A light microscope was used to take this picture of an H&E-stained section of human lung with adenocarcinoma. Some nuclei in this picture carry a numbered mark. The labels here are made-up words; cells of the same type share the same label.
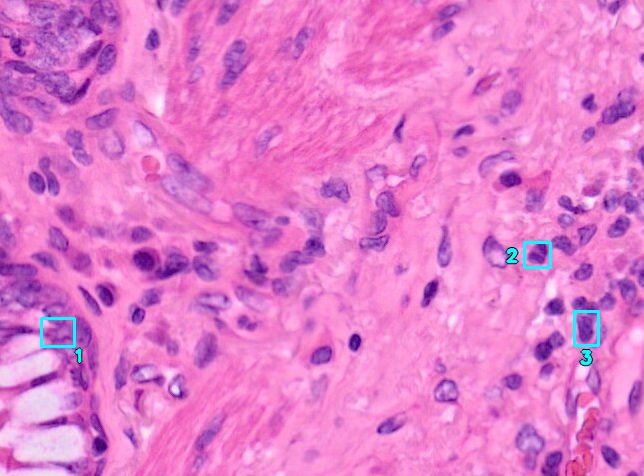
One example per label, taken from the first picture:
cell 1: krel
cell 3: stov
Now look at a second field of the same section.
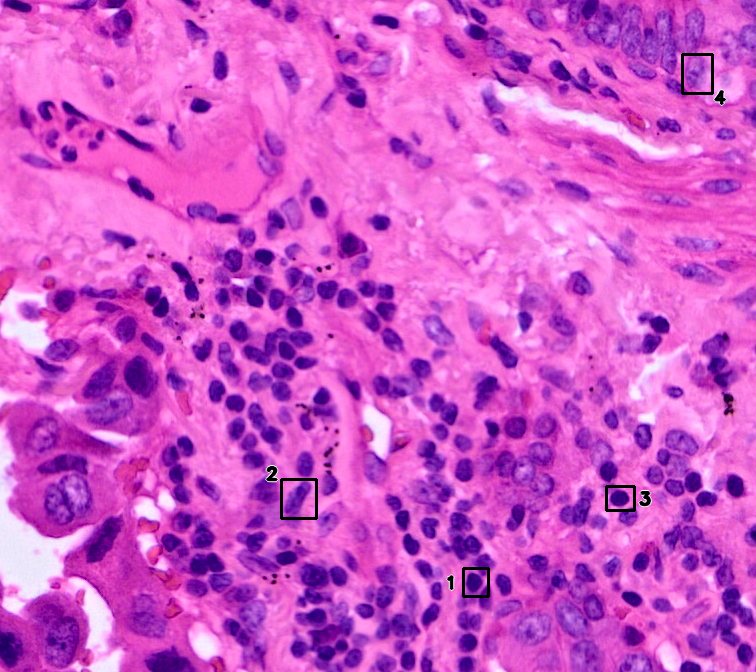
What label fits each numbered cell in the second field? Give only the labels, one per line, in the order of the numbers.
stov
stov
stov
krel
